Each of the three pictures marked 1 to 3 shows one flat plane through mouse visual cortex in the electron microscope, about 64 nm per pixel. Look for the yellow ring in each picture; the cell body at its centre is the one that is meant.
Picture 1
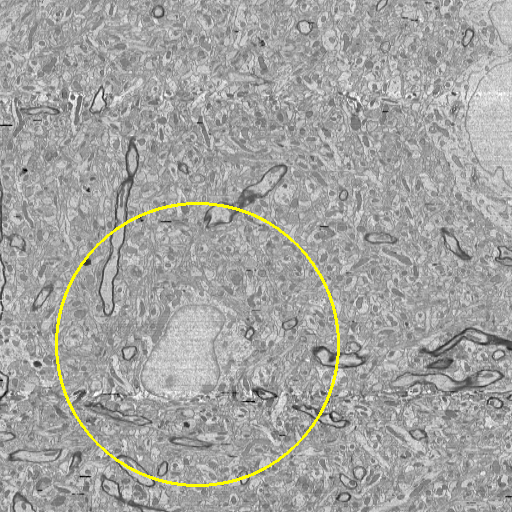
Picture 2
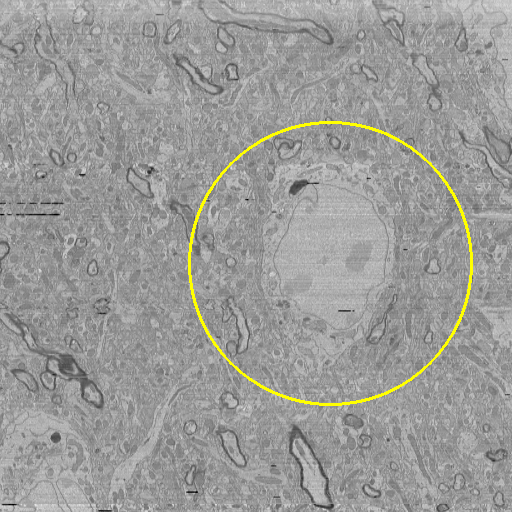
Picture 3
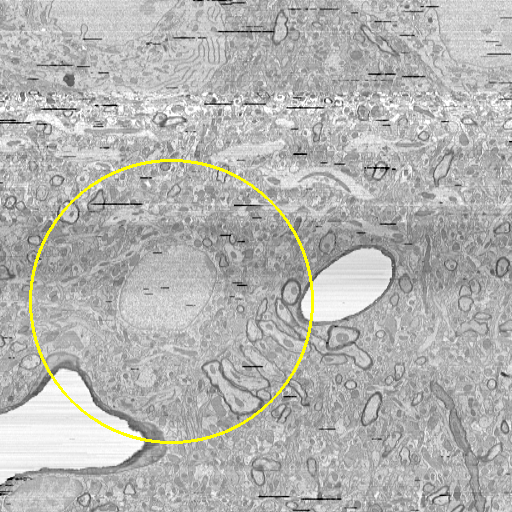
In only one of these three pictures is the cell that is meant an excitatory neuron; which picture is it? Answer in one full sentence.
The excitatory neuron is the one in picture 2.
